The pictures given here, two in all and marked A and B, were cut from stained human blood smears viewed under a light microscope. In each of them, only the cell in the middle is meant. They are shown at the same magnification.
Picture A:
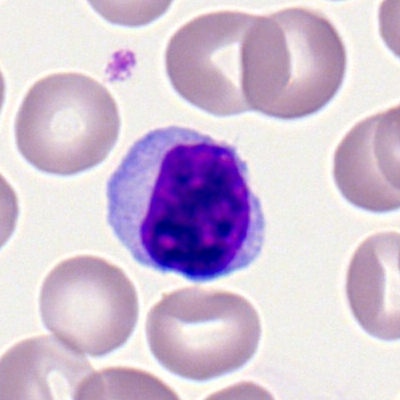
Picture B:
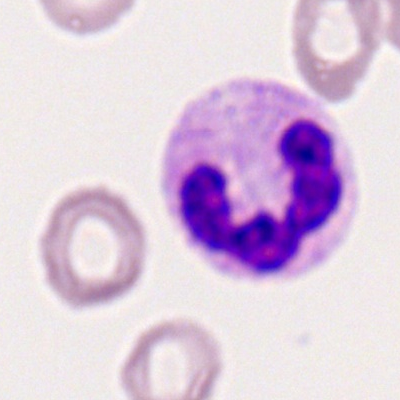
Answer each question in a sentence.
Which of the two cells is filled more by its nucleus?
The nucleus fills more of the cell in picture A than in picture B.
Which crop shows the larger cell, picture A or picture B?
It is the cell in picture B, about 1.5 times as large in area as the cell in picture A.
